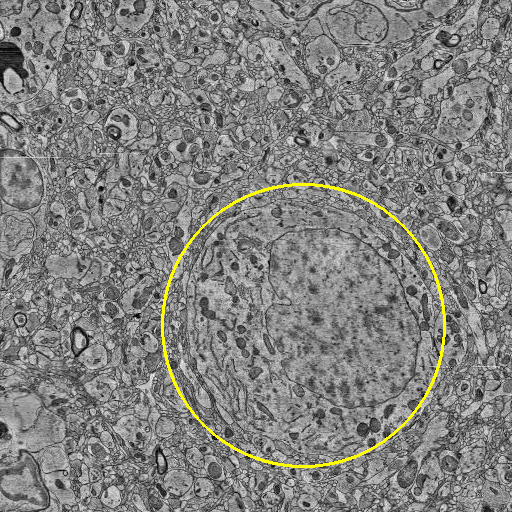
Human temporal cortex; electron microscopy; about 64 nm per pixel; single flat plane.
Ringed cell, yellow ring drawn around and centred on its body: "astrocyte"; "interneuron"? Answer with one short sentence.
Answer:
This ringed cell is an interneuron.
